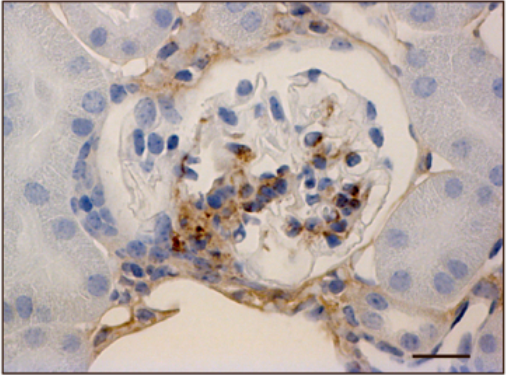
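Here again a glomerulus sits among kidney tubules. The capillary tuft holds many small, dark blue nuclei, and a clear space separates it from the thin outer capsule. Brown staining also runs through the tissue just outside the capsule, where cells and small vessels lie between tubules. The tubules themselves have cuboidal epithelial cells with round pale-blue nuclei and faintly granular cytoplasm, mostly unstained.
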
